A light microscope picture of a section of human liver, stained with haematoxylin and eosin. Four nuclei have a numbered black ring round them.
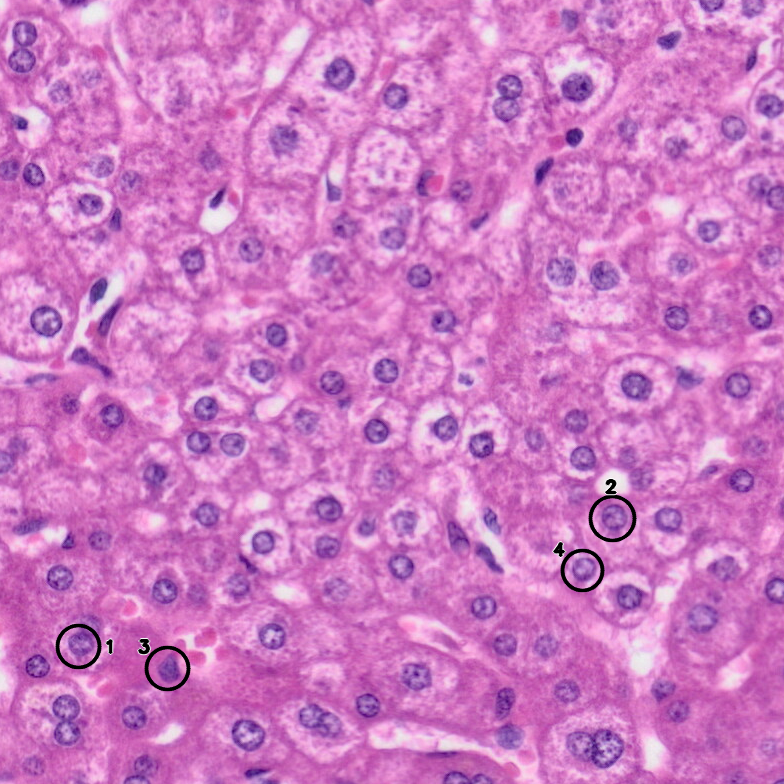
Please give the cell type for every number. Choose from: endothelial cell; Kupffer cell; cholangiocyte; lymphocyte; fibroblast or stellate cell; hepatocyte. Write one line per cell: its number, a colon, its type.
1: hepatocyte
2: hepatocyte
3: fibroblast or stellate cell
4: hepatocyte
